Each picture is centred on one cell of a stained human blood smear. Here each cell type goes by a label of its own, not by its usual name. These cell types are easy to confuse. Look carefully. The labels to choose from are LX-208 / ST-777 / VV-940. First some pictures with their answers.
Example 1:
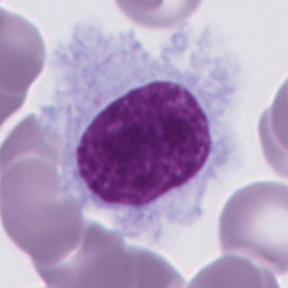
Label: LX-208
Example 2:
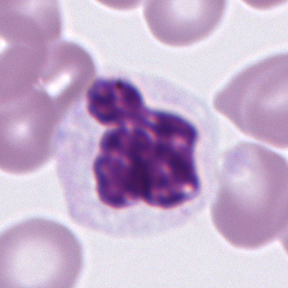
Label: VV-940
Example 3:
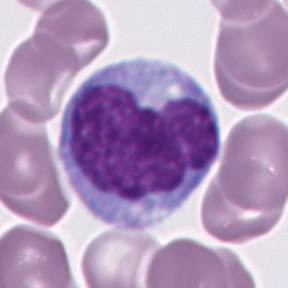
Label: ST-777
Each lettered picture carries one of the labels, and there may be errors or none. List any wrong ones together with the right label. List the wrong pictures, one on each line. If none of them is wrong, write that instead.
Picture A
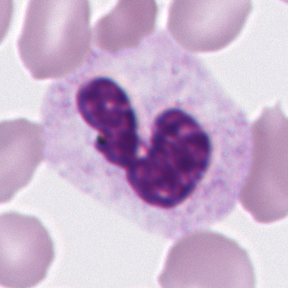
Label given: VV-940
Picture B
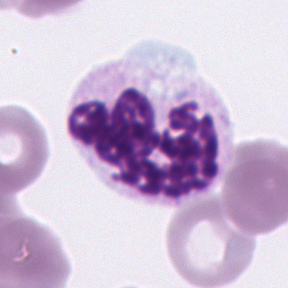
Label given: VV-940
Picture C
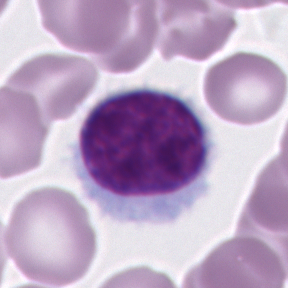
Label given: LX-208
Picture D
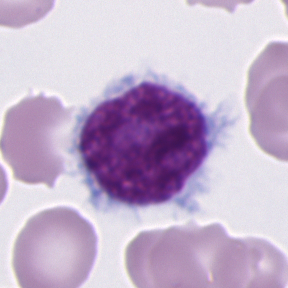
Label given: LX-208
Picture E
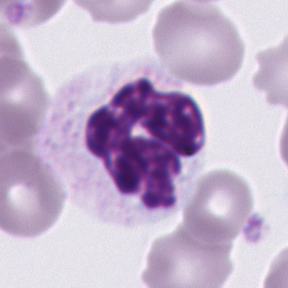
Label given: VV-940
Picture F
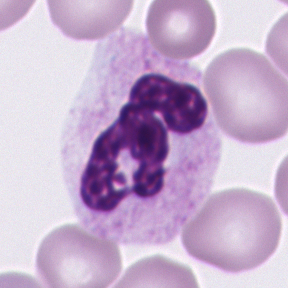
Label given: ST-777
F should be VV-940, not ST-777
